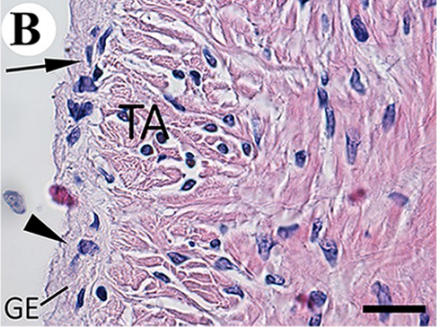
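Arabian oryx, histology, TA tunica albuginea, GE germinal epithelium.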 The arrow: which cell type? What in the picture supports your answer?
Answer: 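Simple squamous. The arrowed cell lies at the free surface as a single layer.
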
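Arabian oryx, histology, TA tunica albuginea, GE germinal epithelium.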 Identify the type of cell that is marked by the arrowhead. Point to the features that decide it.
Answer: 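The marked cell sits in the single surface layer. Its nucleus is rounder and the cell taller than the flattened neighbours. So: cuboidal cells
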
